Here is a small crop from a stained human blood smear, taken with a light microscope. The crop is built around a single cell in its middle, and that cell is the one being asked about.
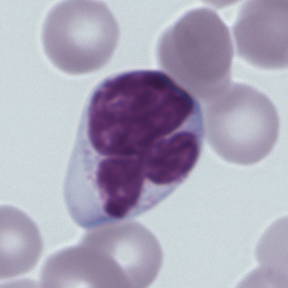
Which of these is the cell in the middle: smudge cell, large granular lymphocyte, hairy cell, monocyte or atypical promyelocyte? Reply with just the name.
large granular lymphocyte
